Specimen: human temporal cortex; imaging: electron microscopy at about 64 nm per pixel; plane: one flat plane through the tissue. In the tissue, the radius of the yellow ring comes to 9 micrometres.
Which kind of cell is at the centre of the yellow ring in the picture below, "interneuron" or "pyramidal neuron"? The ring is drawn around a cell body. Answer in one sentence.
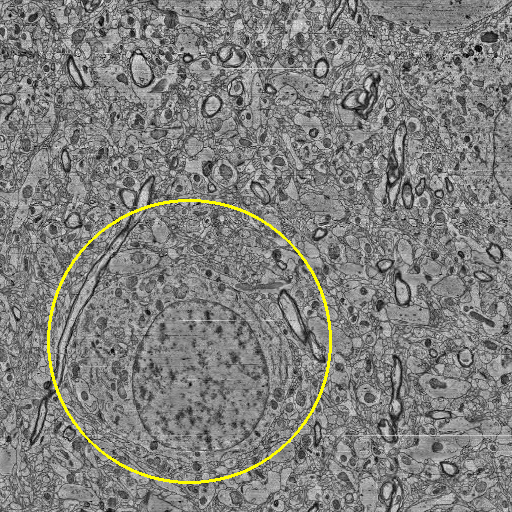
The ring's central cell is an interneuron.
